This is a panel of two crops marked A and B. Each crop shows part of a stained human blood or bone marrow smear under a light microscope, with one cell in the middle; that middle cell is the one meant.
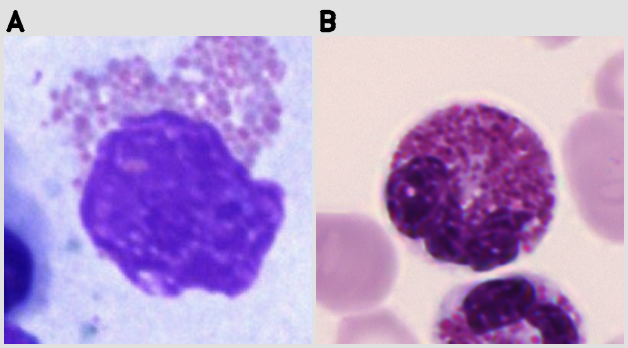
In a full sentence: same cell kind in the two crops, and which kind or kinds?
Yes, eosinophils are centred in both crops.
